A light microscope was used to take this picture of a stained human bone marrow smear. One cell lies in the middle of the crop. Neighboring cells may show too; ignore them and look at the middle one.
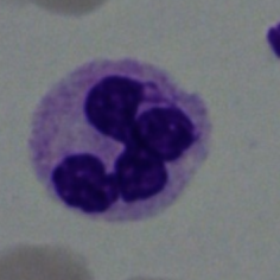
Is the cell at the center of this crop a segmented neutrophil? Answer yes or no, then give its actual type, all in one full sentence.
Yes, this is a segmented neutrophil, the cell in the middle of the crop.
